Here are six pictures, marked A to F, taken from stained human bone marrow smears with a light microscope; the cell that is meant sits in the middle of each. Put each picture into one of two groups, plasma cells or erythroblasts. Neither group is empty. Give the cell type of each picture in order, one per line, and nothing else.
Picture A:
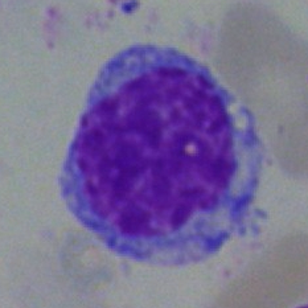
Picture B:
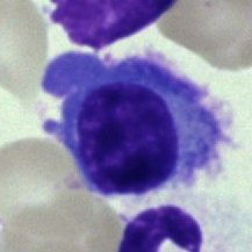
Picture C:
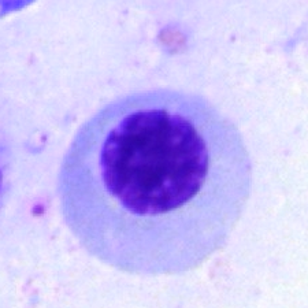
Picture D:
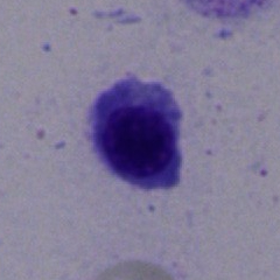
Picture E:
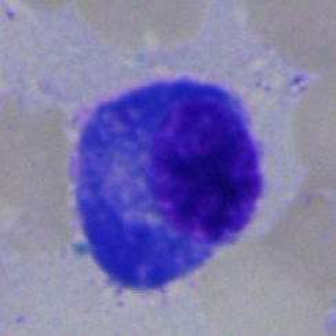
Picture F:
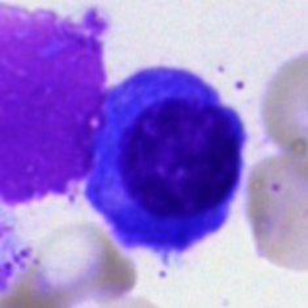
plasma cell
plasma cell
erythroblast
erythroblast
plasma cell
plasma cell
